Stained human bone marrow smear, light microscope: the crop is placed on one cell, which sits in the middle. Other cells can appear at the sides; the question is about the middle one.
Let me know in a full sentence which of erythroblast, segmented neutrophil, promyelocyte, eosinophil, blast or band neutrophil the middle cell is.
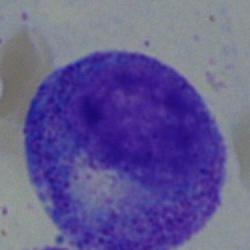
The cell at the central position in this crop is a promyelocyte.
